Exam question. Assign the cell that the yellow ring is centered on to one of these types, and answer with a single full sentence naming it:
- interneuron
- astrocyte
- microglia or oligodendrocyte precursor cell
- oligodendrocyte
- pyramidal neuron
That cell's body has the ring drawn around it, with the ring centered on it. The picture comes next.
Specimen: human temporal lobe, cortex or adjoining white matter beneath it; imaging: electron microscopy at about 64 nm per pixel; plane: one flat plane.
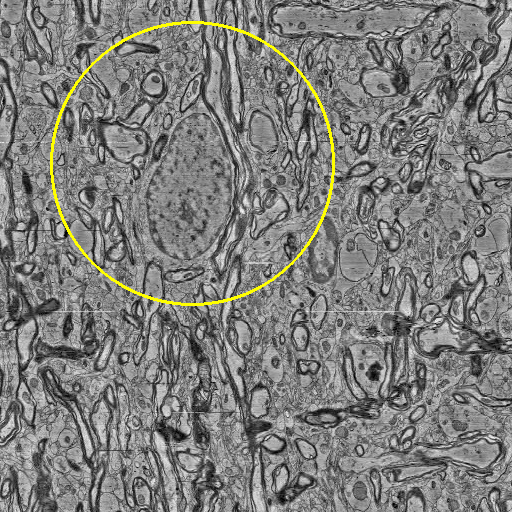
In the micrograph, the cell the yellow ring is centered on is a microglial cell or oligodendrocyte precursor cell.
